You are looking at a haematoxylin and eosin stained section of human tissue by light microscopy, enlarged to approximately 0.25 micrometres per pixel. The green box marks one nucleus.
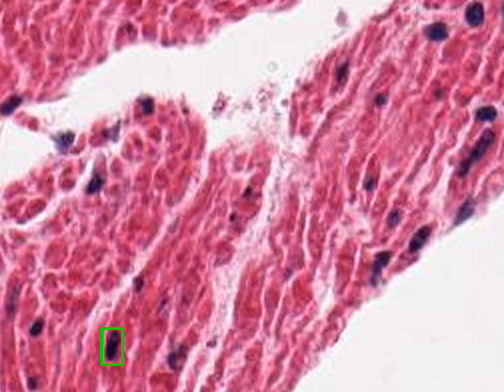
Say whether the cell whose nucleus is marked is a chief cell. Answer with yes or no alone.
no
